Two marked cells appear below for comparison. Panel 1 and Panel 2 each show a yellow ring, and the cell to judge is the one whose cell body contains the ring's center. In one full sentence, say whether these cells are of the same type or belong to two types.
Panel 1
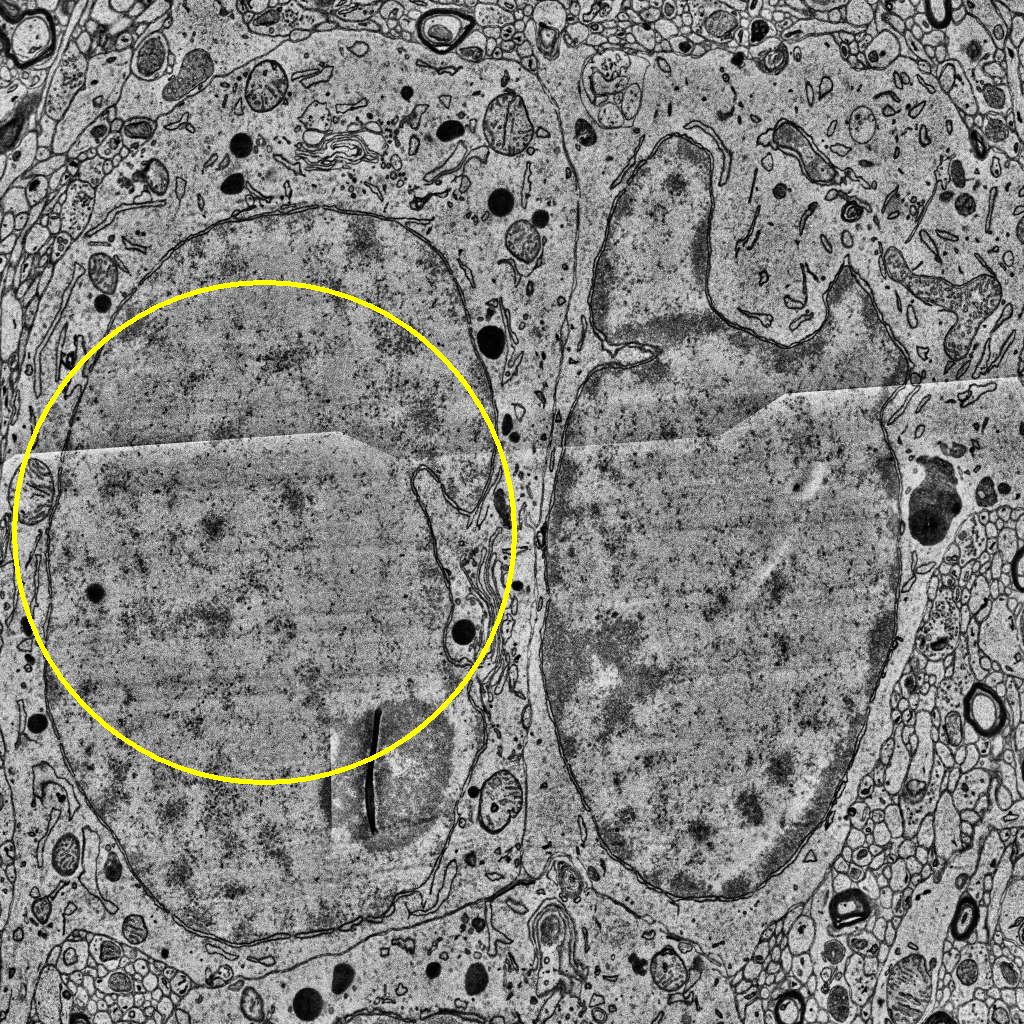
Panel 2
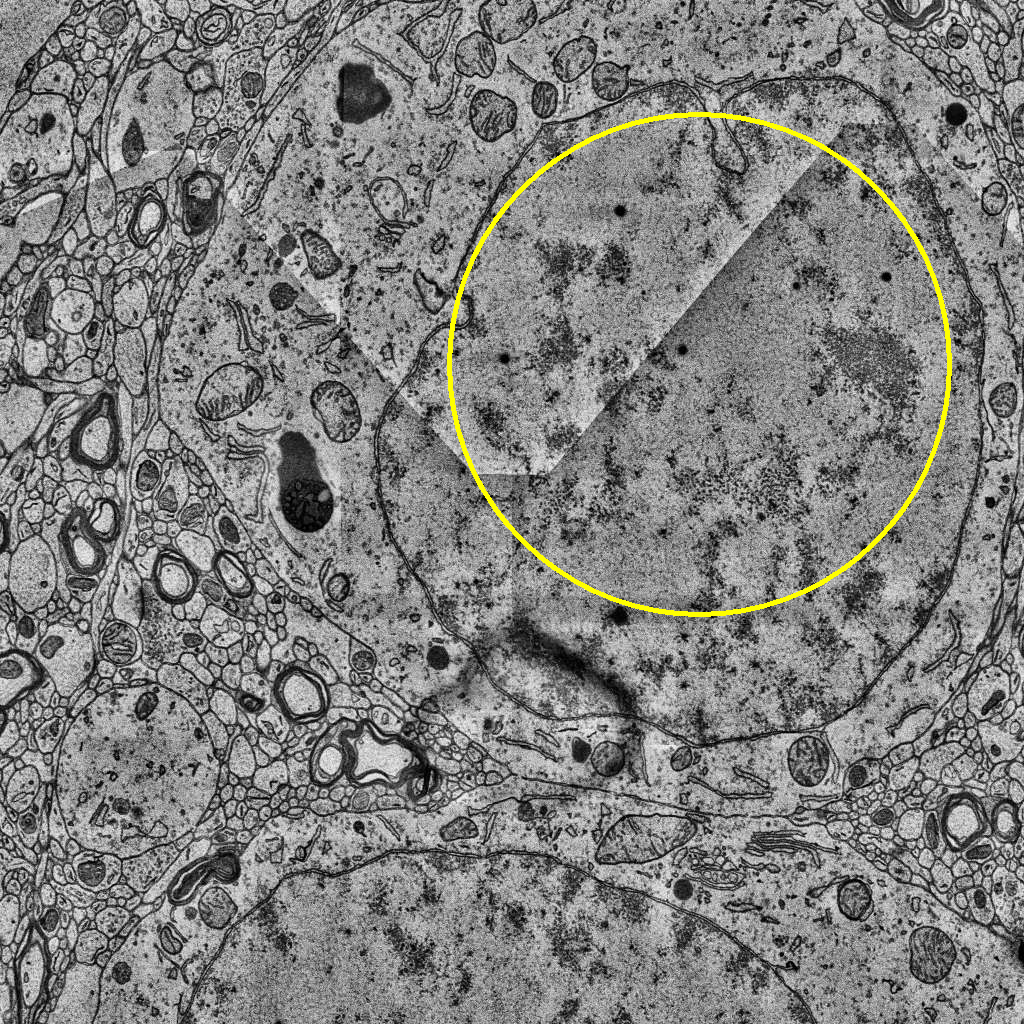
The cell at the ring's center in Panel 1 and the one in Panel 2 are of the same type.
